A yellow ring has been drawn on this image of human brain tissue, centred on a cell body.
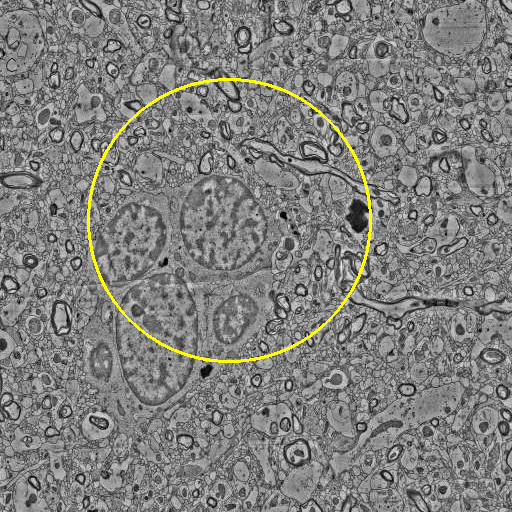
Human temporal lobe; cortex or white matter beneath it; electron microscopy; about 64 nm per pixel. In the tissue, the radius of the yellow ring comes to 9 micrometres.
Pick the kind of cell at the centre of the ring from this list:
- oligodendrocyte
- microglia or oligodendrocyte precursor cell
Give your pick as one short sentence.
The centre of the ring holds an oligodendrocyte.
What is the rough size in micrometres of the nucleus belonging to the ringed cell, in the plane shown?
The nucleus appears about 6 micrometres across in this plane.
